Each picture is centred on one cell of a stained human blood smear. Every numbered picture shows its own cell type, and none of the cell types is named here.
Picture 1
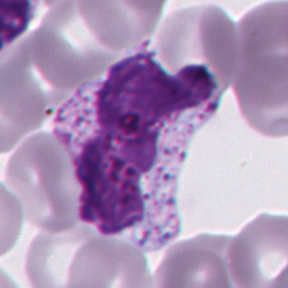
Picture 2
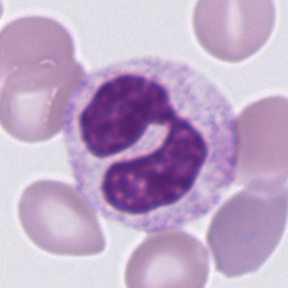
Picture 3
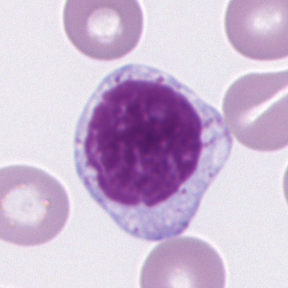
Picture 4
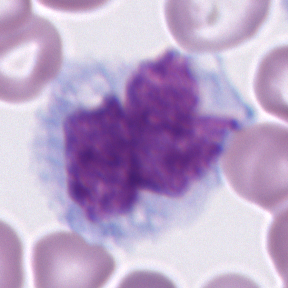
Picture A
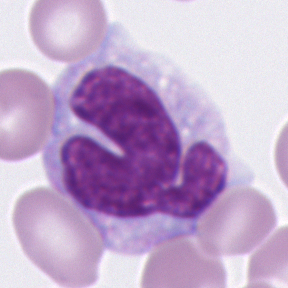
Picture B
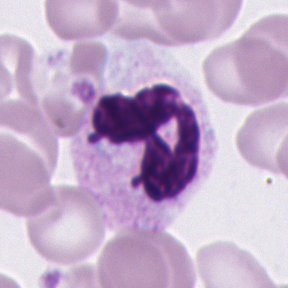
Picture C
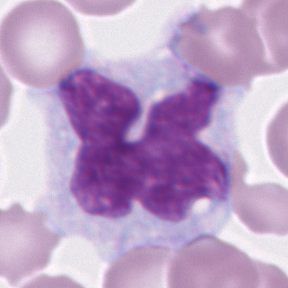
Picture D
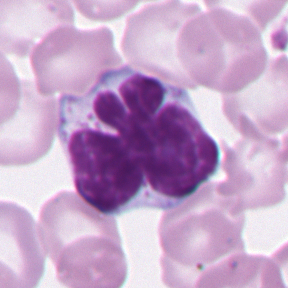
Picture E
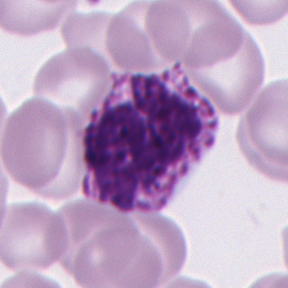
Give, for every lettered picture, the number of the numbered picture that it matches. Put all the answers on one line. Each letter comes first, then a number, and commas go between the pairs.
A 4, B 2, C 4, D 3, E 1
